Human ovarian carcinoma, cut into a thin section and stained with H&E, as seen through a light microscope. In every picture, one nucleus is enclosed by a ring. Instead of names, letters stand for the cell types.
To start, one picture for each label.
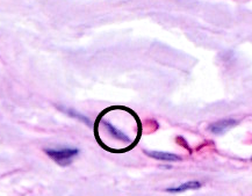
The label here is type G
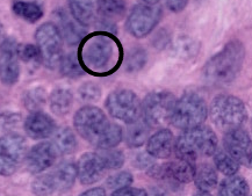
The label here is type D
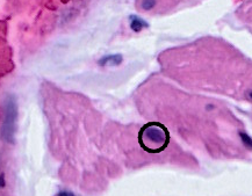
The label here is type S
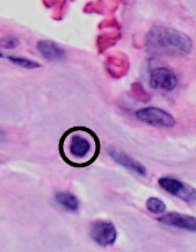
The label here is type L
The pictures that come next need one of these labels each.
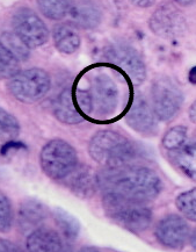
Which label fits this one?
type D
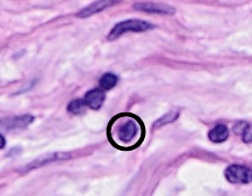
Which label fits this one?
type L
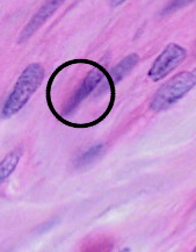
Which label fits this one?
type S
